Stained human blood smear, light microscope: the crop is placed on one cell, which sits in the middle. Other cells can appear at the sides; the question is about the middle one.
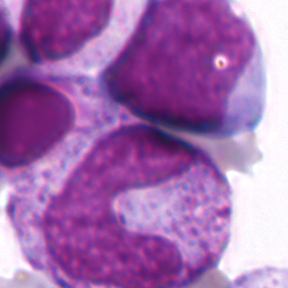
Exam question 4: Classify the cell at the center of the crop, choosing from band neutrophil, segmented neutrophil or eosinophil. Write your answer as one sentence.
Framed in the middle of the crop is a band neutrophil.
